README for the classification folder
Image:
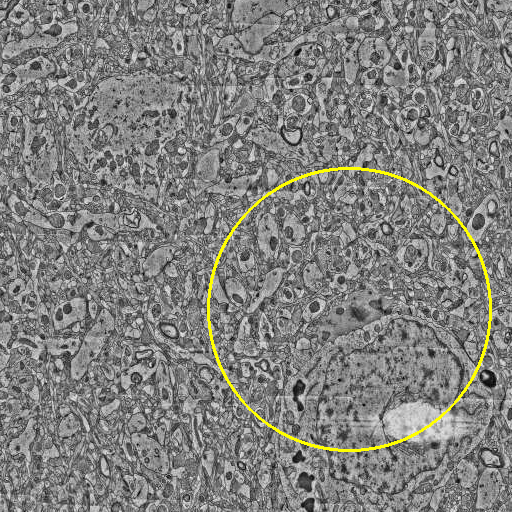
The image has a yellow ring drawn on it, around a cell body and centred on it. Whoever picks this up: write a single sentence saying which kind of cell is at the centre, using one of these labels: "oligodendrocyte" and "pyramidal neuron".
This cell body is that of an oligodendrocyte.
